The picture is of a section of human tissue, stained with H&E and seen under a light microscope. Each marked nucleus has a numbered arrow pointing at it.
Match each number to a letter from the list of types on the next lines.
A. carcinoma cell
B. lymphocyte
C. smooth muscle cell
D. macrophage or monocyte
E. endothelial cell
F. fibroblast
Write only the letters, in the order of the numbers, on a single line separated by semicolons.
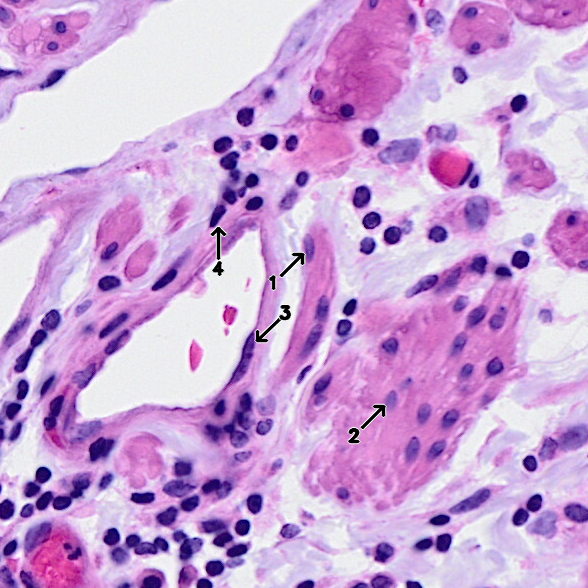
C; C; E; B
